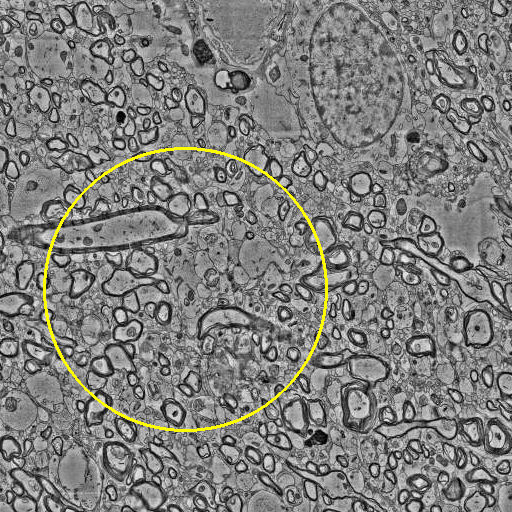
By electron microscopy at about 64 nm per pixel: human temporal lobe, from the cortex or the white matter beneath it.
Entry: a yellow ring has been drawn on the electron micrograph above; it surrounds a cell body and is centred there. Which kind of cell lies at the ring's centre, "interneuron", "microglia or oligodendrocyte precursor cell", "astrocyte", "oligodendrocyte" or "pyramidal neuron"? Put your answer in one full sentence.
The cell sitting at the ring's centre is a microglial cell or oligodendrocyte precursor cell in the micrograph above.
